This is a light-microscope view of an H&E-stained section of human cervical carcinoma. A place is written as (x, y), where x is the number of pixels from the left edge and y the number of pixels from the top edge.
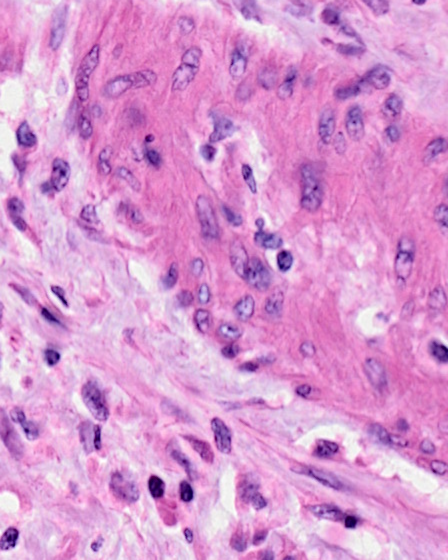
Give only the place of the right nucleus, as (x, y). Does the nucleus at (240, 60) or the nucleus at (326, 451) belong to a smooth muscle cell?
(240, 60)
